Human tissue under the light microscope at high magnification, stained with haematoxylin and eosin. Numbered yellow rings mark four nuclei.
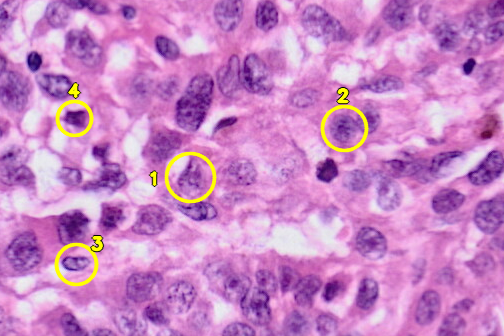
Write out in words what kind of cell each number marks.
Cell 1 is a melanoma cell, cell 2 is a melanoma cell, cell 3 is a macrophage or monocyte and cell 4 is a melanoma cell.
